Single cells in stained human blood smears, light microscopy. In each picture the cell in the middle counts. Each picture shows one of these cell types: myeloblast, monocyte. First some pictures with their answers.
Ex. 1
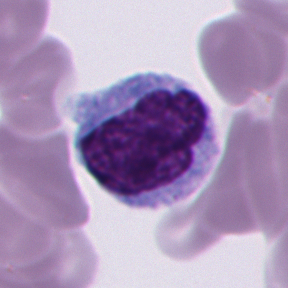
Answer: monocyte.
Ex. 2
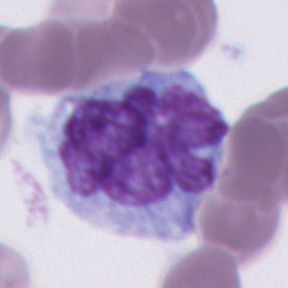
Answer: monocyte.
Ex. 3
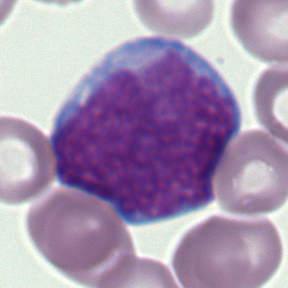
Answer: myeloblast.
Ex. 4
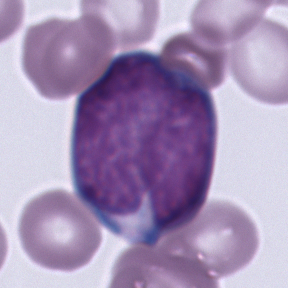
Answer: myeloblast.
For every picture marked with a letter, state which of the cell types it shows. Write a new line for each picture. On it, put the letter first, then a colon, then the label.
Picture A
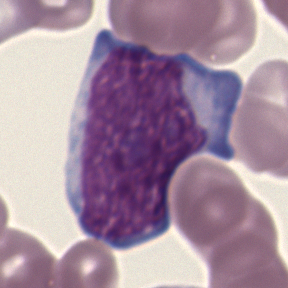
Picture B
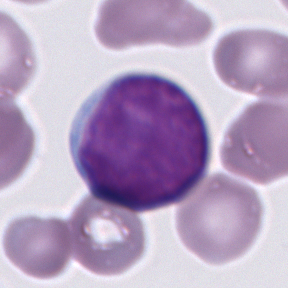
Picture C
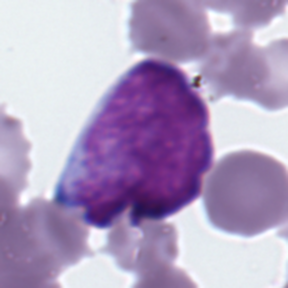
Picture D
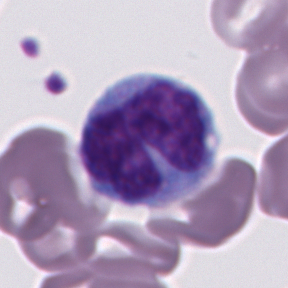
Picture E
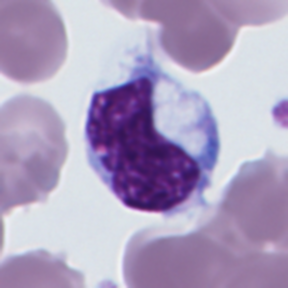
A: myeloblast.
B: myeloblast.
C: myeloblast.
D: monocyte.
E: monocyte.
